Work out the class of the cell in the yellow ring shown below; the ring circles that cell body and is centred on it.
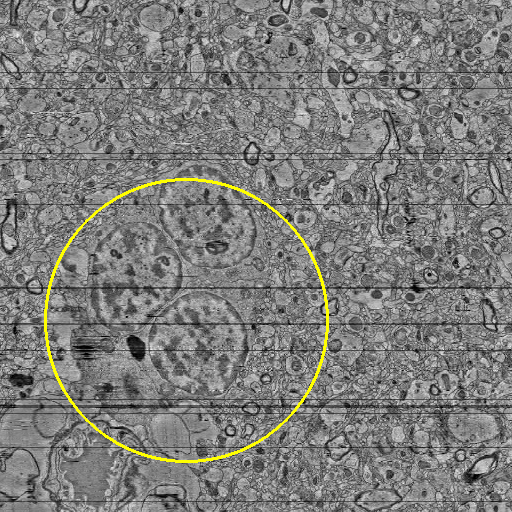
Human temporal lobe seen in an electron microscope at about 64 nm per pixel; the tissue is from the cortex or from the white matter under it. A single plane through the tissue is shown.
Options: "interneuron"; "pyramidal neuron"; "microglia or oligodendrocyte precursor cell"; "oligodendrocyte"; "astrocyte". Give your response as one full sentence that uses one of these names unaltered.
The body ringed in yellow, right at the ring's centre, is that of an oligodendrocyte.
